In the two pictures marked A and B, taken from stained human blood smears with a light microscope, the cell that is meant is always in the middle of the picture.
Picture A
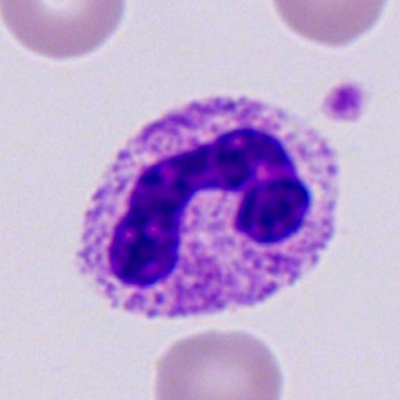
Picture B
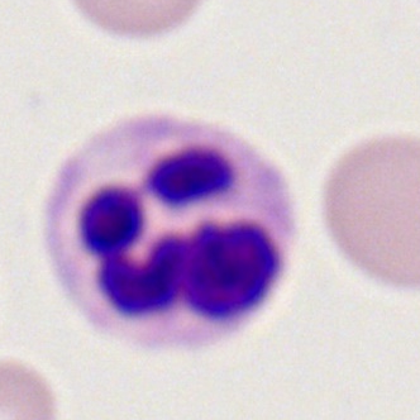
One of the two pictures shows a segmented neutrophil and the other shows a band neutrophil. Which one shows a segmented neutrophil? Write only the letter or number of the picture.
B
